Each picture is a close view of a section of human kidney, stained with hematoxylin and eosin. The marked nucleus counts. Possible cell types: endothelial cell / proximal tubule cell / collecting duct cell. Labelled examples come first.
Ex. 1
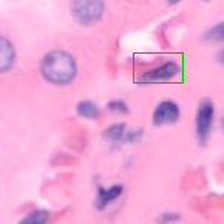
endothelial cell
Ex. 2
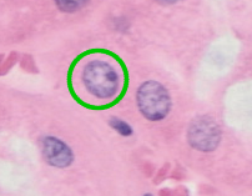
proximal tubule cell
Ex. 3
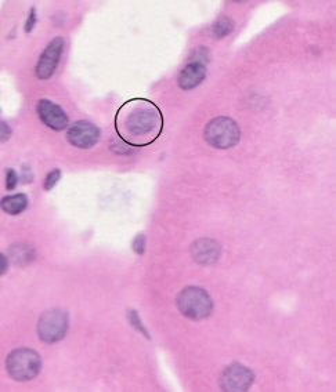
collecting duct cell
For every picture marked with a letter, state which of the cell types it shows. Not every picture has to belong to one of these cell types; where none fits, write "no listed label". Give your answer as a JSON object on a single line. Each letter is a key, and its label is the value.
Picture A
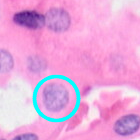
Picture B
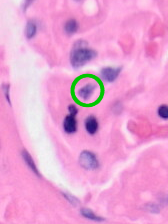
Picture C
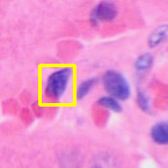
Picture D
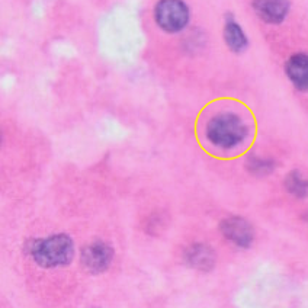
{"A": "collecting duct cell", "B": "endothelial cell", "C": "endothelial cell", "D": "proximal tubule cell"}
